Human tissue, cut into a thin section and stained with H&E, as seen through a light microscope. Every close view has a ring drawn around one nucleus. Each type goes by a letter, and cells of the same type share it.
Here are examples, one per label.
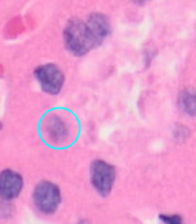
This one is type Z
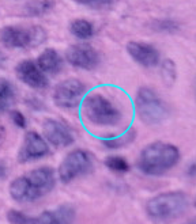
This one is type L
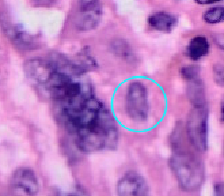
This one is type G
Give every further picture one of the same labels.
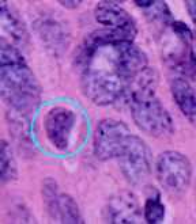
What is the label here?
type L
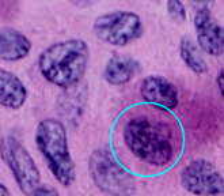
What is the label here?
type L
